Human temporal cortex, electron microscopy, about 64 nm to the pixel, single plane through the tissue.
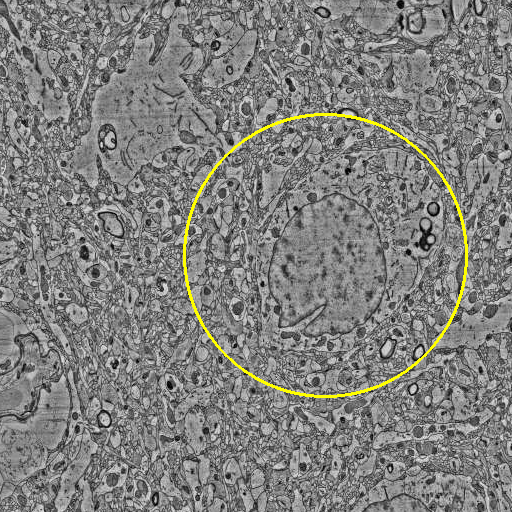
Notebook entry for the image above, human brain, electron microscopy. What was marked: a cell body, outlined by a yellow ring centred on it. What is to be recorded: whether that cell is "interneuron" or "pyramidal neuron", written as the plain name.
pyramidal neuron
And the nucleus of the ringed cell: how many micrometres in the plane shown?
In this plane the nucleus spans approximately 9 by 8 micrometers.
